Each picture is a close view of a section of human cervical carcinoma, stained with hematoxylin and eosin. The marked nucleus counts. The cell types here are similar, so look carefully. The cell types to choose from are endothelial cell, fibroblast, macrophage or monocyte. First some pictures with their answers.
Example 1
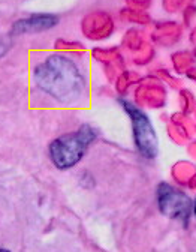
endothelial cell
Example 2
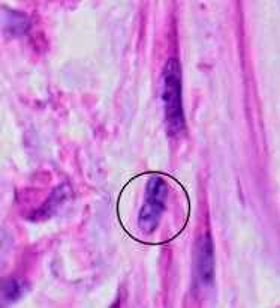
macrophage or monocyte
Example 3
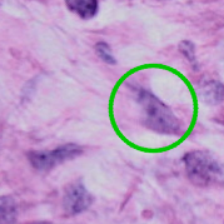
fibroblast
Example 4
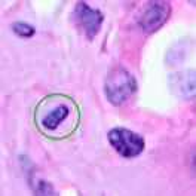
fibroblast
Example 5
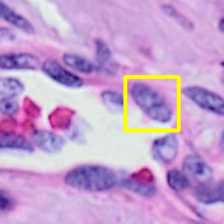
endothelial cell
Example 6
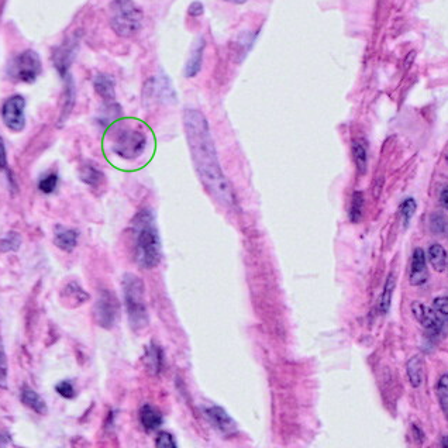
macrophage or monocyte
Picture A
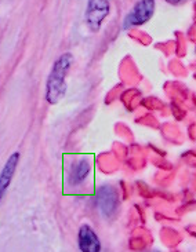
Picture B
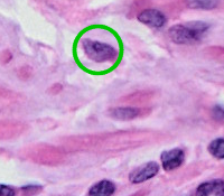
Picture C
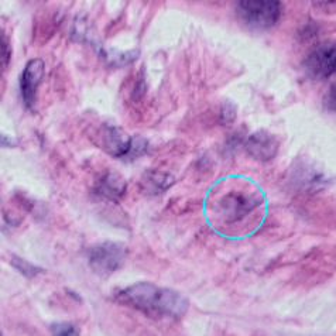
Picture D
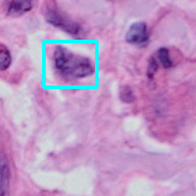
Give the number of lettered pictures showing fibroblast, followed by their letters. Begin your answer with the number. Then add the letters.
1, namely C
